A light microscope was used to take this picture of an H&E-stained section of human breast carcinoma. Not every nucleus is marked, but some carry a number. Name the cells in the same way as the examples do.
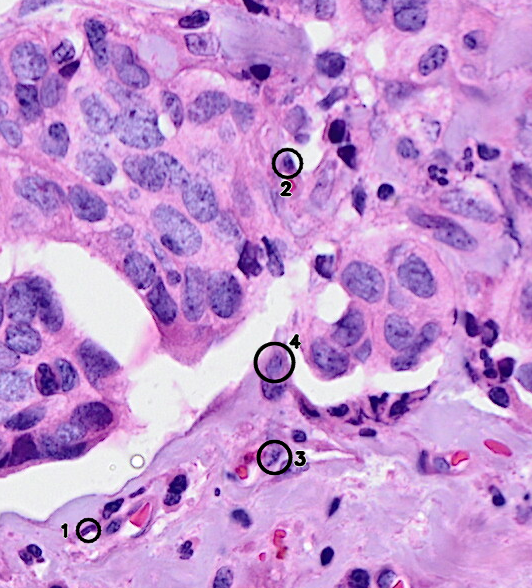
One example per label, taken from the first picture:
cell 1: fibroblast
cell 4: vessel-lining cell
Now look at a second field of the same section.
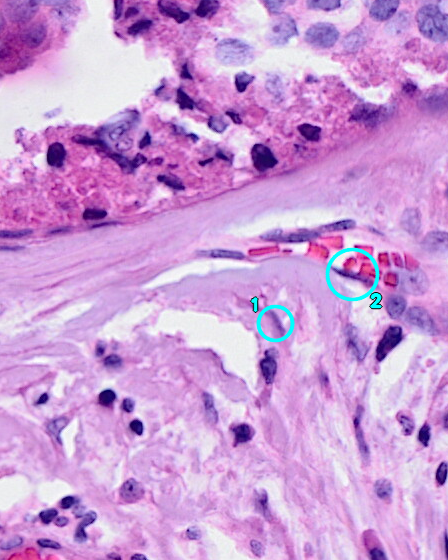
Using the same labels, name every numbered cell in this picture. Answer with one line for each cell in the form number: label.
1: fibroblast
2: vessel-lining cell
